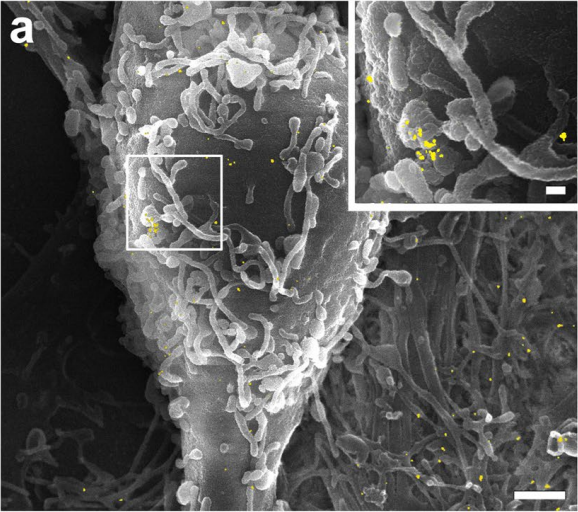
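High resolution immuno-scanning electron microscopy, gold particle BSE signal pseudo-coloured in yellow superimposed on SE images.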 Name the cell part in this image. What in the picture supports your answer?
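Cell body of a neuron. A large smooth rounded cell body tapers downward into a thick process. Many thin tubular processes lie over the surface of the cell body. A dense meshwork of thin processes fills the background.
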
